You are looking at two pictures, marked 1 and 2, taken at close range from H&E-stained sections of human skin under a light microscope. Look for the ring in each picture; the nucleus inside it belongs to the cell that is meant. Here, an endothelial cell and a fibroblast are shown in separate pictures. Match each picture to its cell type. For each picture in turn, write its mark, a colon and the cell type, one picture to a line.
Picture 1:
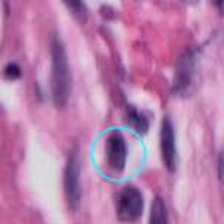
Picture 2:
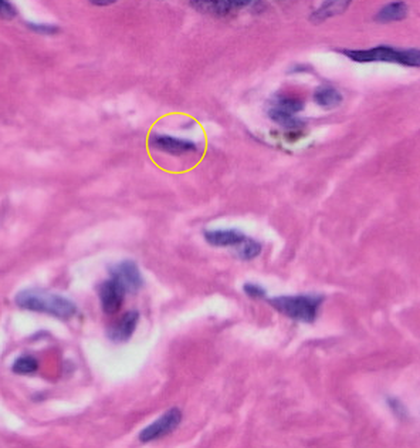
1: endothelial cell
2: fibroblast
